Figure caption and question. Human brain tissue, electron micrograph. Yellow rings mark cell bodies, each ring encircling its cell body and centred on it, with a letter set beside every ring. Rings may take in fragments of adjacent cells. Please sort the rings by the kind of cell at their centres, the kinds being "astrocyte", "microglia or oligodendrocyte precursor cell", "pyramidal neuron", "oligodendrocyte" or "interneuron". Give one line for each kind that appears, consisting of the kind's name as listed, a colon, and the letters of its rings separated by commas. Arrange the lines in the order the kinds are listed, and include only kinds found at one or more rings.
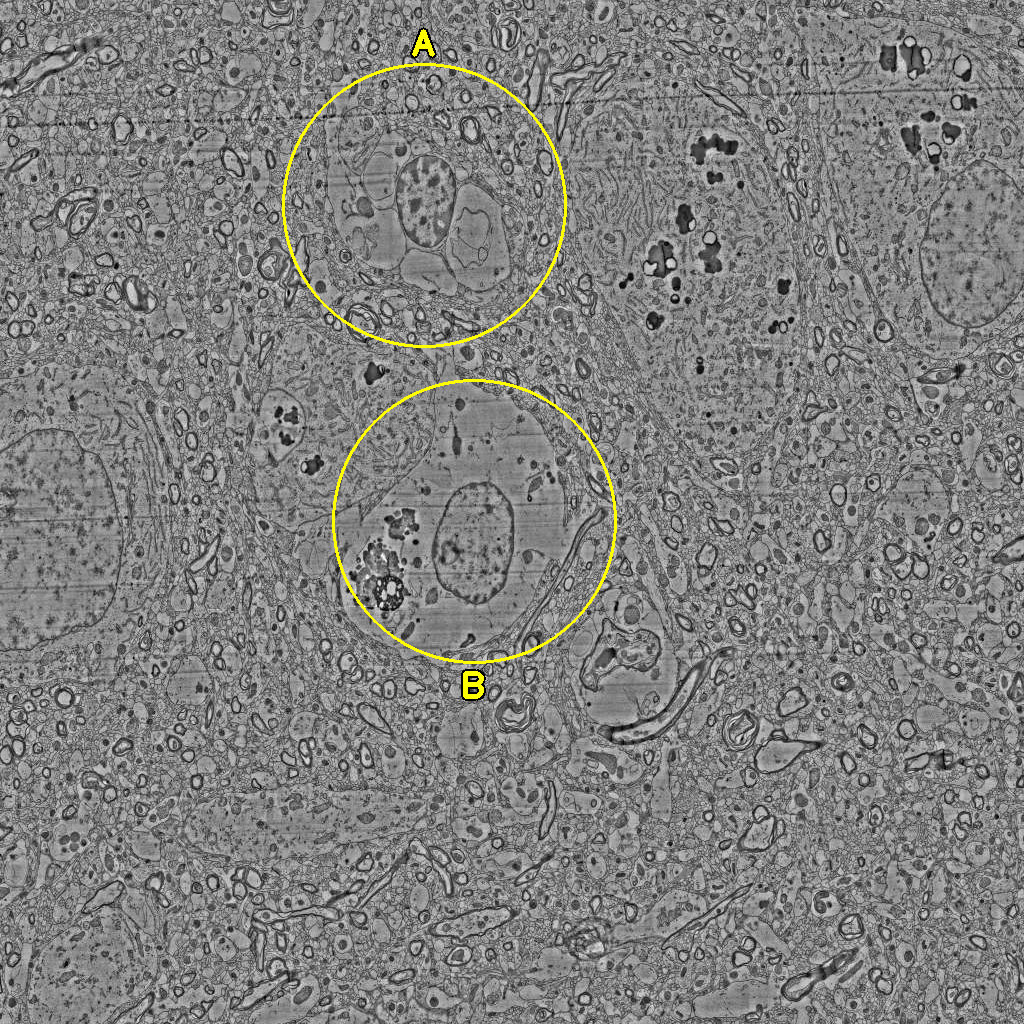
astrocyte: B
microglia or oligodendrocyte precursor cell: A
